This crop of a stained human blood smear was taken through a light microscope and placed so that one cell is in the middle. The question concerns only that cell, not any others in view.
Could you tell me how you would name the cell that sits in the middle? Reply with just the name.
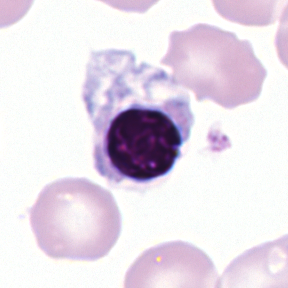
normoblast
